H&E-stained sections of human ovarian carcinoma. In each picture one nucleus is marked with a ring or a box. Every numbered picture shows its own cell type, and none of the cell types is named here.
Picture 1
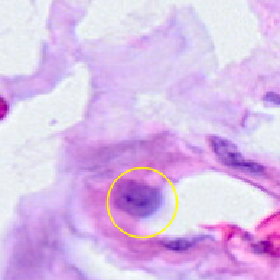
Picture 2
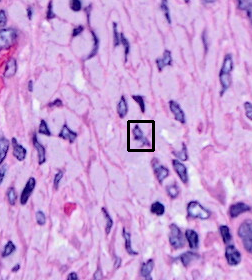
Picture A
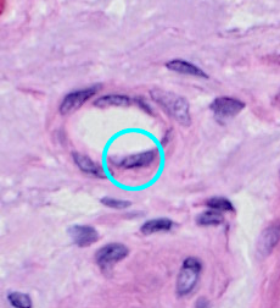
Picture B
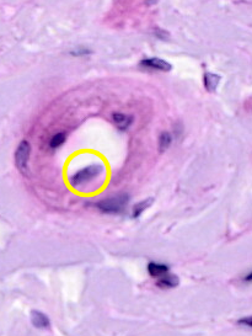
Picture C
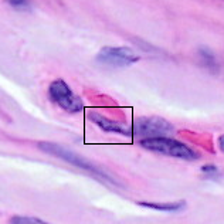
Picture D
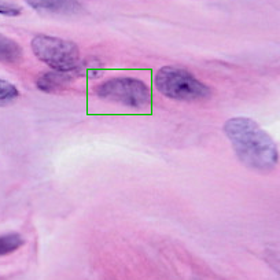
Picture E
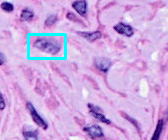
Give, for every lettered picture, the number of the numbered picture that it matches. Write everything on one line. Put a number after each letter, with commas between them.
A 1, B 1, C 1, D 1, E 2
